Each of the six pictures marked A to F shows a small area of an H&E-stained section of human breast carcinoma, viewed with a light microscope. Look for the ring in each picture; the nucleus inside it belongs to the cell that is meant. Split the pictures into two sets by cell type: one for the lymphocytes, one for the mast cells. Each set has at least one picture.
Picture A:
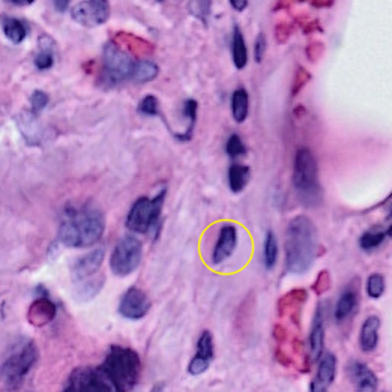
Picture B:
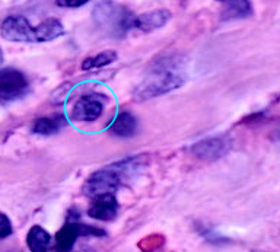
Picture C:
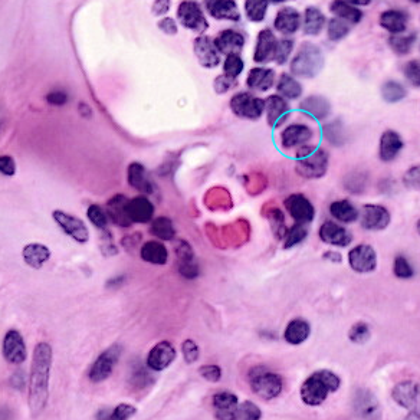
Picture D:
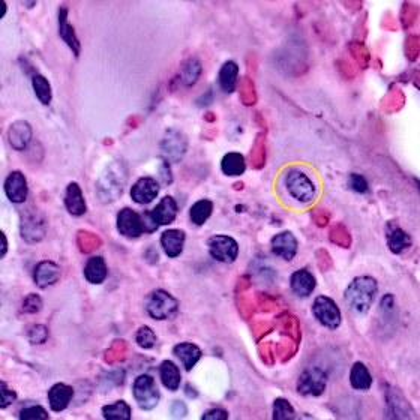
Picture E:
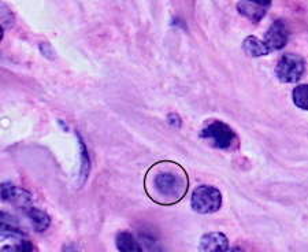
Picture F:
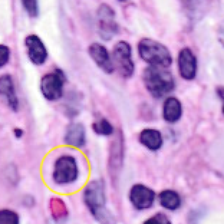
A: mast cell
B: lymphocyte
C: lymphocyte
D: mast cell
E: mast cell
F: lymphocyte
